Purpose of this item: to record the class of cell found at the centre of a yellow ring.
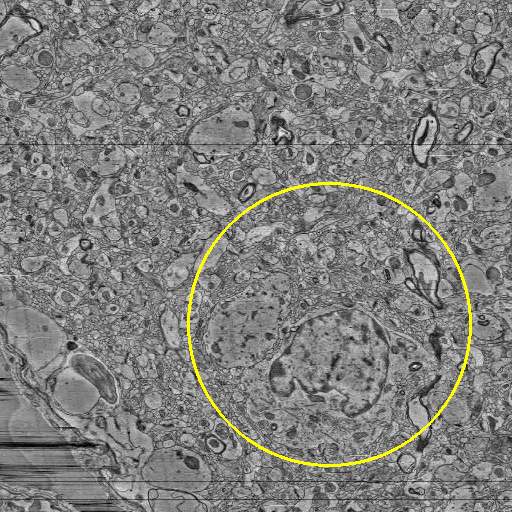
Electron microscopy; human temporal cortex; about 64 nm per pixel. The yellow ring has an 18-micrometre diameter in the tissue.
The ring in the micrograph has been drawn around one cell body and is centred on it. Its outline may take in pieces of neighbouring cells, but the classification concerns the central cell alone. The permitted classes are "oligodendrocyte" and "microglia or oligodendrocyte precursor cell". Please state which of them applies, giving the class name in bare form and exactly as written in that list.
microglia or oligodendrocyte precursor cell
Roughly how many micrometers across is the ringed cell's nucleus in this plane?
Roughly 7 micrometres across, measured in this plane.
